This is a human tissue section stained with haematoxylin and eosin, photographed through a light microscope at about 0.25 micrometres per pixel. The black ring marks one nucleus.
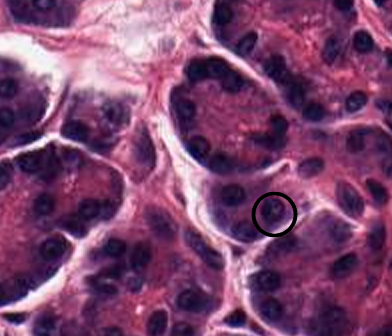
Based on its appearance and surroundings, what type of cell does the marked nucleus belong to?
pancreatic acinar cell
